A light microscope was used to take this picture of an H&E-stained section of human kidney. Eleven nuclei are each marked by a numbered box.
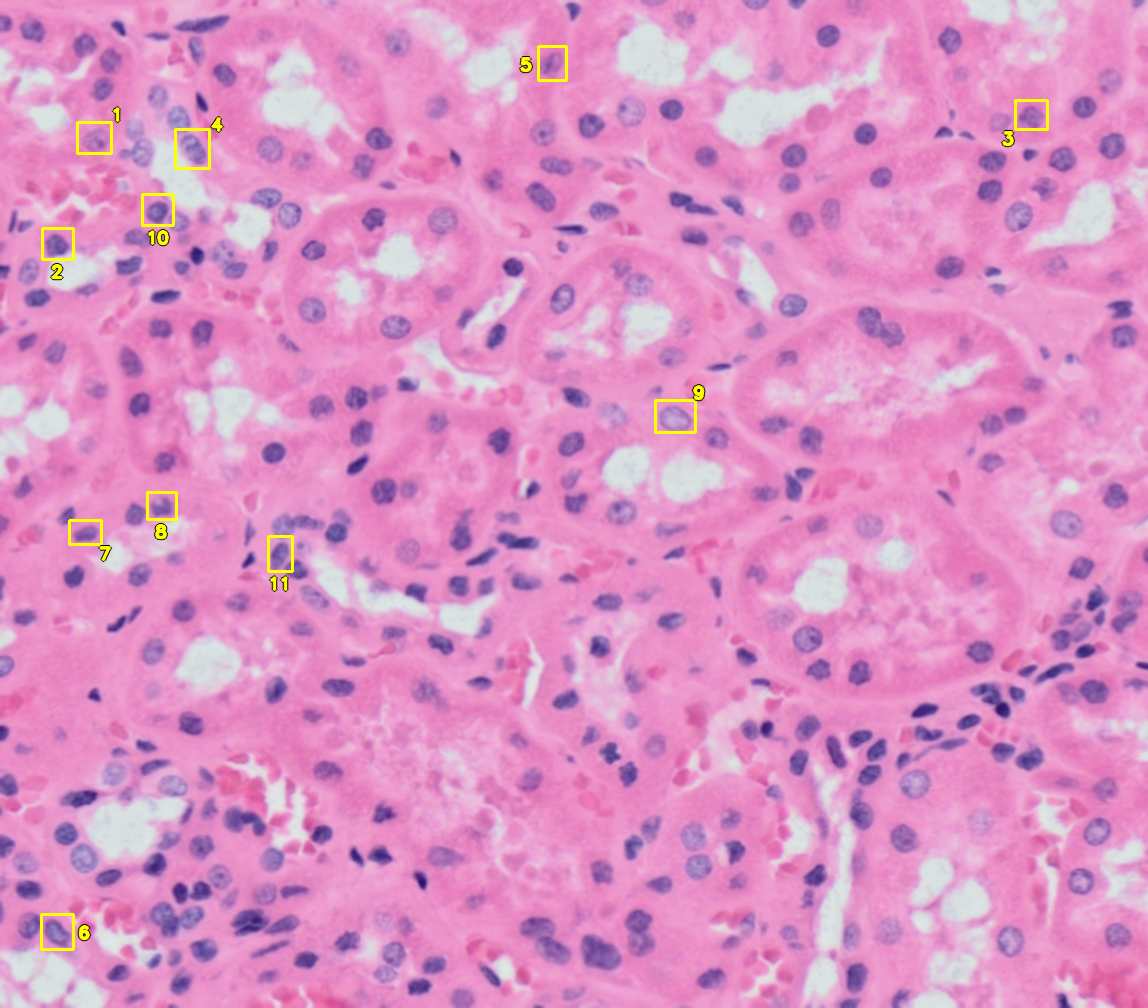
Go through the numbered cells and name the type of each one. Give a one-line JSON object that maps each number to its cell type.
{"1": "proximal tubule cell", "2": "loop of Henle or distal tubule cell", "3": "proximal tubule cell", "4": "collecting duct cell", "5": "proximal tubule cell", "6": "collecting duct cell", "7": "loop of Henle or distal tubule cell", "8": "loop of Henle or distal tubule cell", "9": "proximal tubule cell", "10": "collecting duct cell", "11": "collecting duct cell"}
